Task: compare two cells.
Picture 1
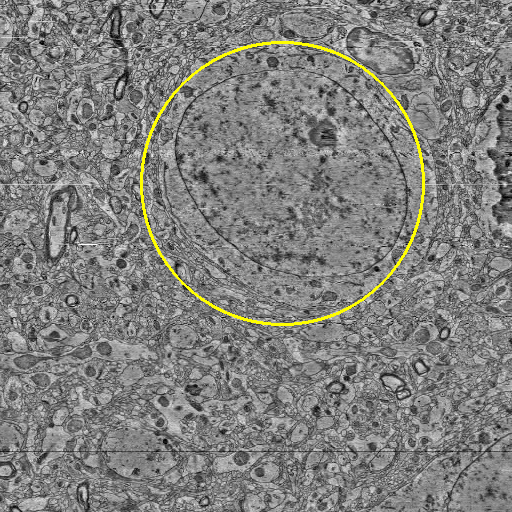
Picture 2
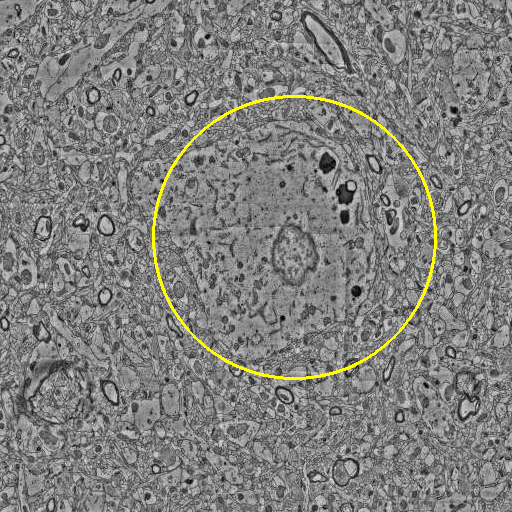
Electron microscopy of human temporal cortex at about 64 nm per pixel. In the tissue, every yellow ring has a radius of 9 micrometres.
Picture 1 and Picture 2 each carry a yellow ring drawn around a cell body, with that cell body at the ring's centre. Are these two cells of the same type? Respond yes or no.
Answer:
yes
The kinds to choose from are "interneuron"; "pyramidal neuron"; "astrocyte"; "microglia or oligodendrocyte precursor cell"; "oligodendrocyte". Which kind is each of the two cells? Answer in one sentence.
Each of the two cells is a pyramidal neuron.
